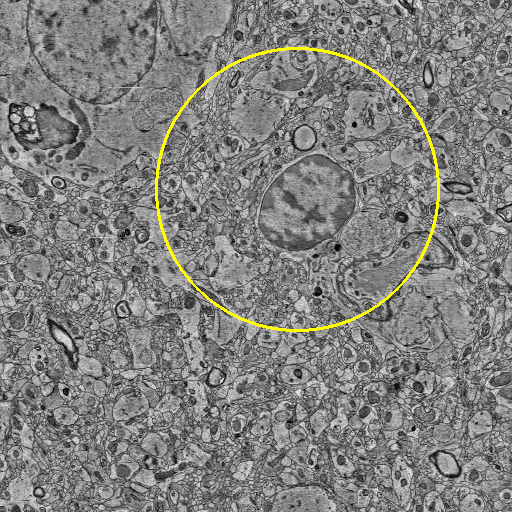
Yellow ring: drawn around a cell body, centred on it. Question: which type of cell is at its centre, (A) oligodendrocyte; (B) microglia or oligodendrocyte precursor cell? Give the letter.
B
